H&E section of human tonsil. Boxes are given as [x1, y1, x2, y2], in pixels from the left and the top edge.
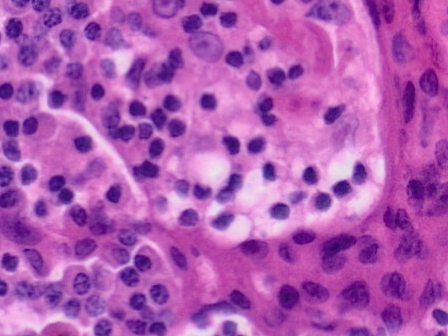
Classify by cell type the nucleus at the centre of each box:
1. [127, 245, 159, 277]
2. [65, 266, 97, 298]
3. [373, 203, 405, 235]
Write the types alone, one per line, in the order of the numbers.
plasma cell
plasma cell
squamous epithelial cell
